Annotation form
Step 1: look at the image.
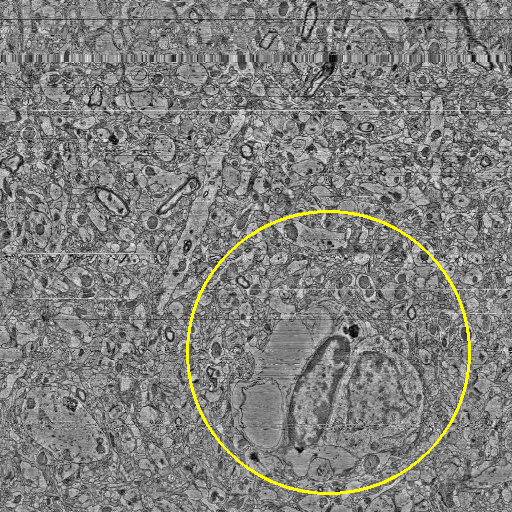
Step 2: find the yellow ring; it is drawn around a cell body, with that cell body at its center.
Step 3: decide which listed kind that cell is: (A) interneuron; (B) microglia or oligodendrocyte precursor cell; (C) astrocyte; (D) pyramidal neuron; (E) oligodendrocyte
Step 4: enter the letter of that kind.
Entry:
B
